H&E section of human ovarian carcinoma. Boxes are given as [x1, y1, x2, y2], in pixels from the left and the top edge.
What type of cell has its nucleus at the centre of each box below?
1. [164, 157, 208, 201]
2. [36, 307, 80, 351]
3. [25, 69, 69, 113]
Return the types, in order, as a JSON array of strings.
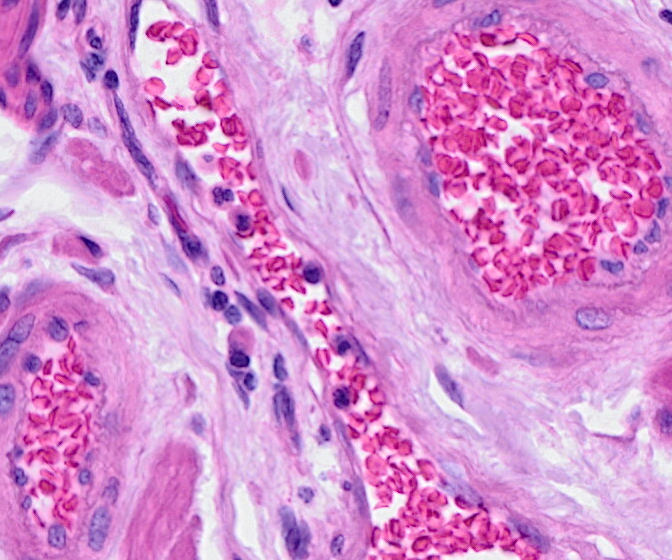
["endothelial cell", "endothelial cell", "smooth muscle cell"]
